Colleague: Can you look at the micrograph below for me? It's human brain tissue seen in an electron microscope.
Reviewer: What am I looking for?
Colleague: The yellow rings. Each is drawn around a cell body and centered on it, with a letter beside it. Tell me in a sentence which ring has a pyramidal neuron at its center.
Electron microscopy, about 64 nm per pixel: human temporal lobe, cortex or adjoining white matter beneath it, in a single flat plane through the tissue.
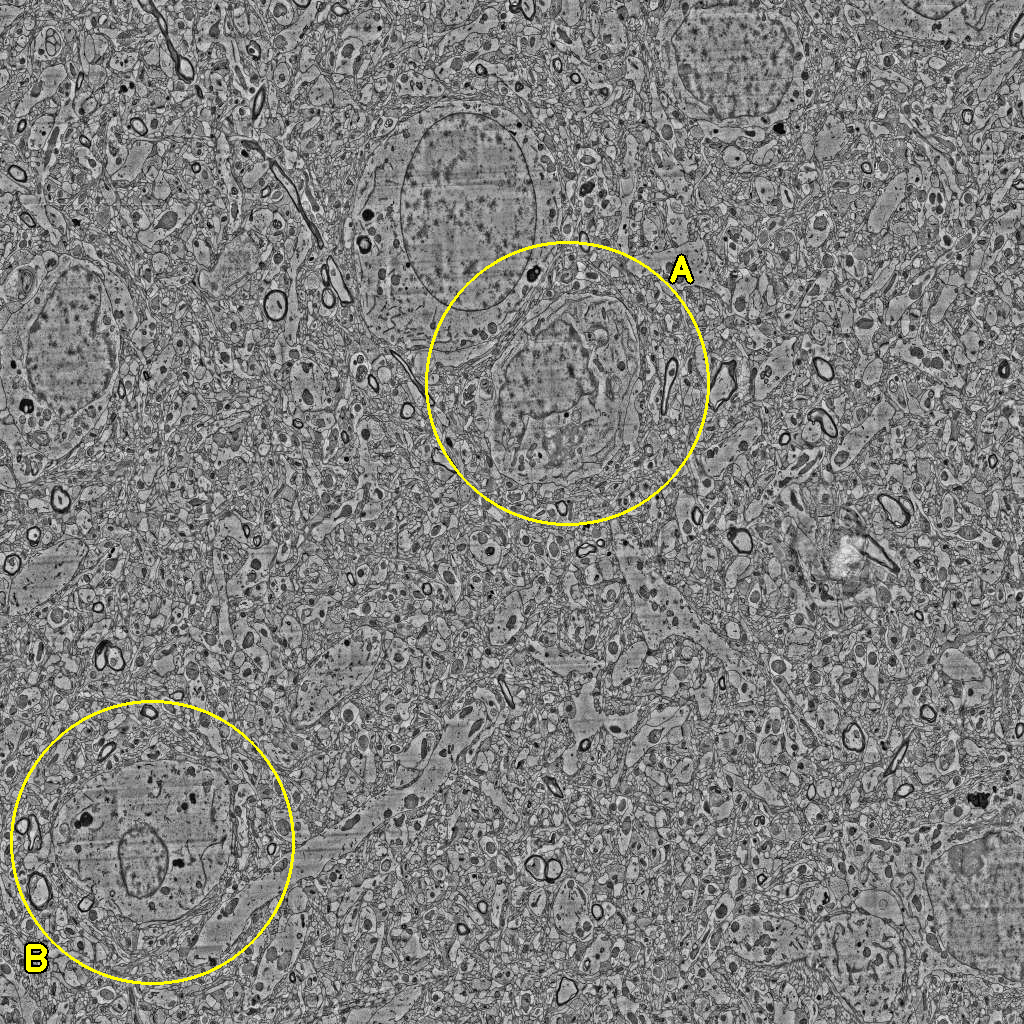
It's the cell in ring B.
